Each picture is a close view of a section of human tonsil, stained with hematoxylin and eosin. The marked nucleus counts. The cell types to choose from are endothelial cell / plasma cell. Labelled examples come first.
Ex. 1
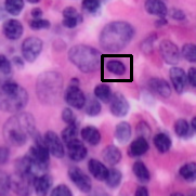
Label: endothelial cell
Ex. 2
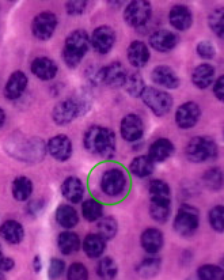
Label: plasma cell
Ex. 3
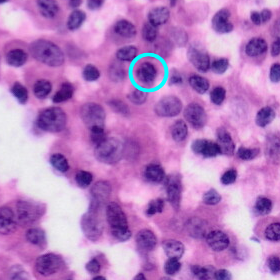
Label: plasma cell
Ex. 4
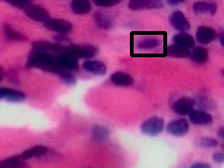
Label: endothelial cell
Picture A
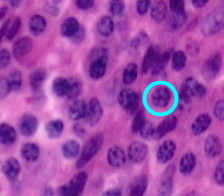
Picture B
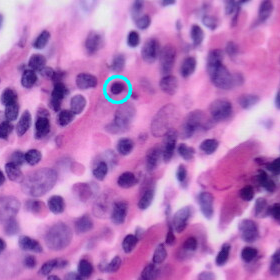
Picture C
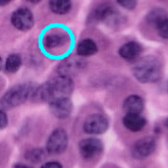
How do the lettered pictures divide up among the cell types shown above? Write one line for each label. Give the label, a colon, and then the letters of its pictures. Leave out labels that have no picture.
endothelial cell: B
plasma cell: A, C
